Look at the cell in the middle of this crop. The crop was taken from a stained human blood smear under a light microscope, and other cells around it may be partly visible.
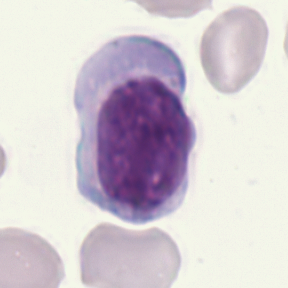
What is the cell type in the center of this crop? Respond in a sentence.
The crop shows a plasma cell in its centre.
